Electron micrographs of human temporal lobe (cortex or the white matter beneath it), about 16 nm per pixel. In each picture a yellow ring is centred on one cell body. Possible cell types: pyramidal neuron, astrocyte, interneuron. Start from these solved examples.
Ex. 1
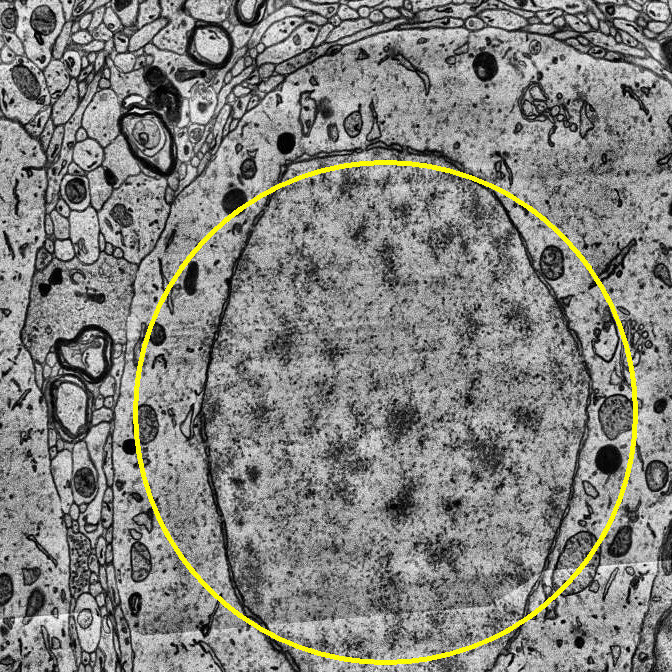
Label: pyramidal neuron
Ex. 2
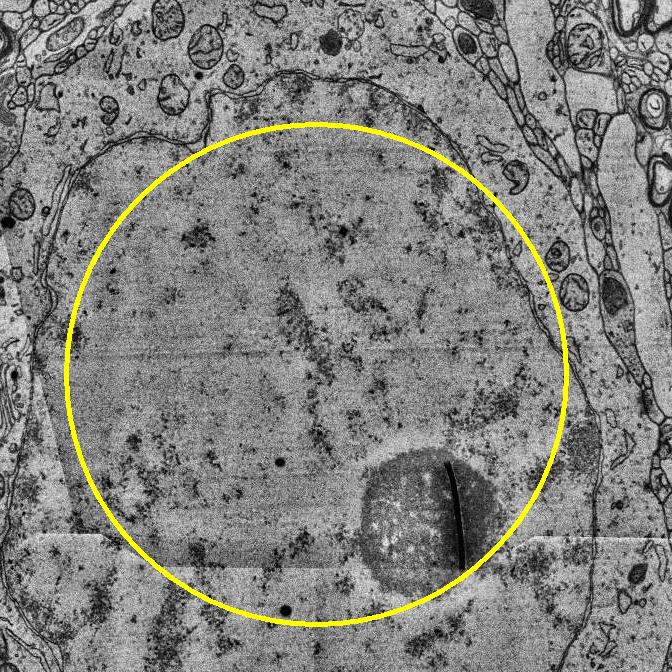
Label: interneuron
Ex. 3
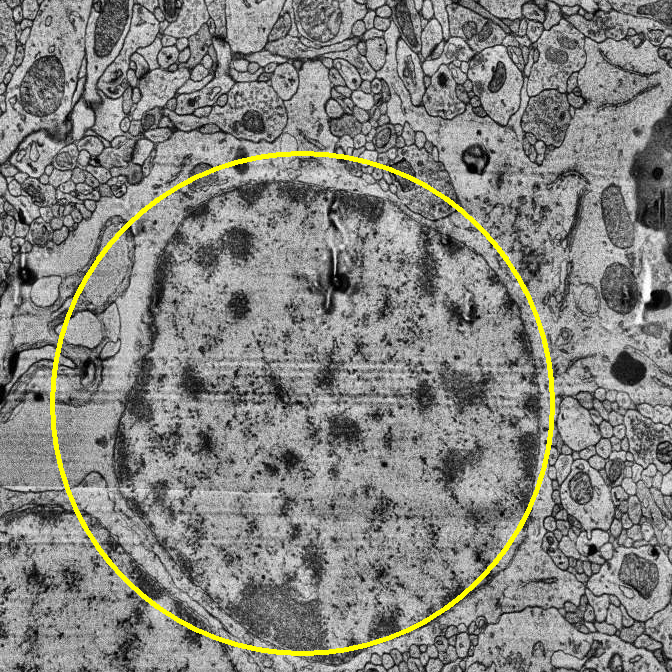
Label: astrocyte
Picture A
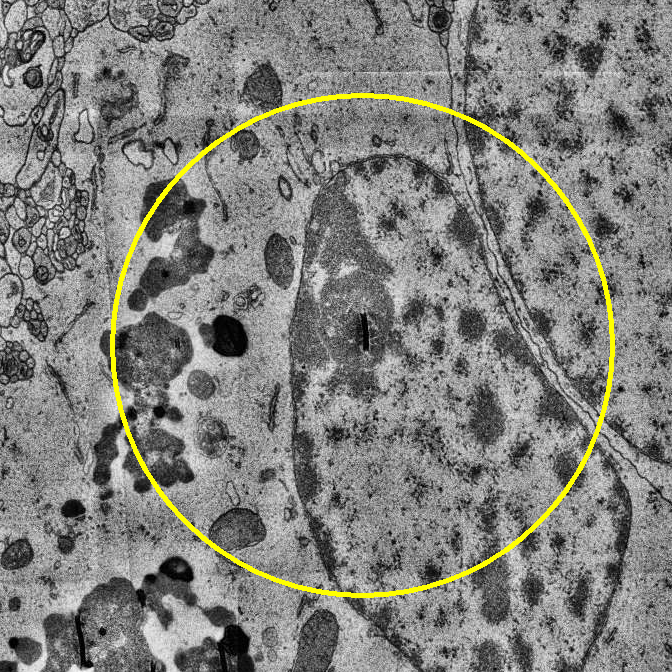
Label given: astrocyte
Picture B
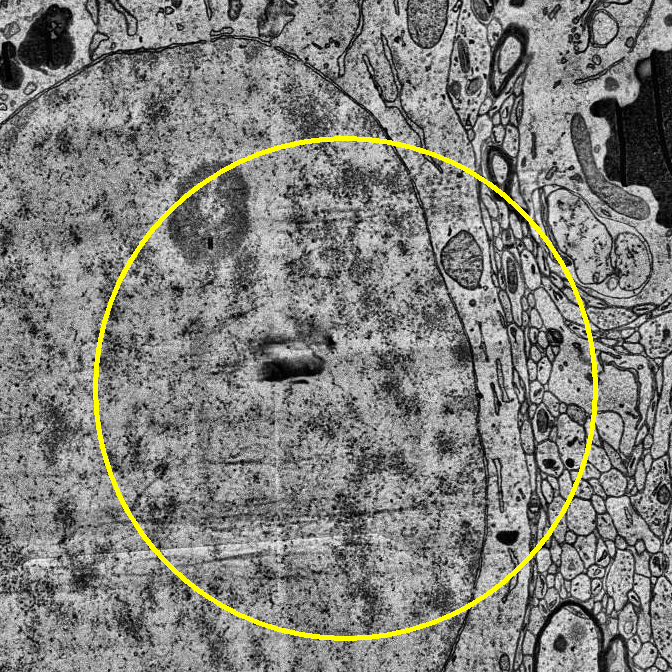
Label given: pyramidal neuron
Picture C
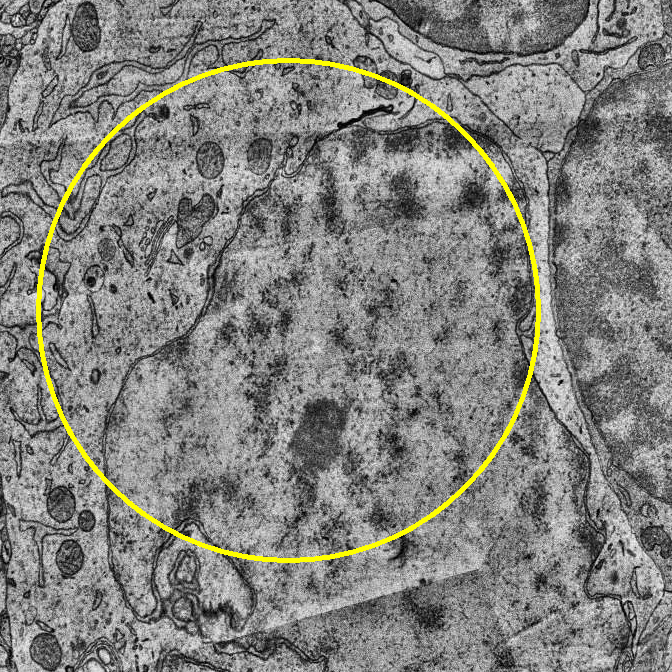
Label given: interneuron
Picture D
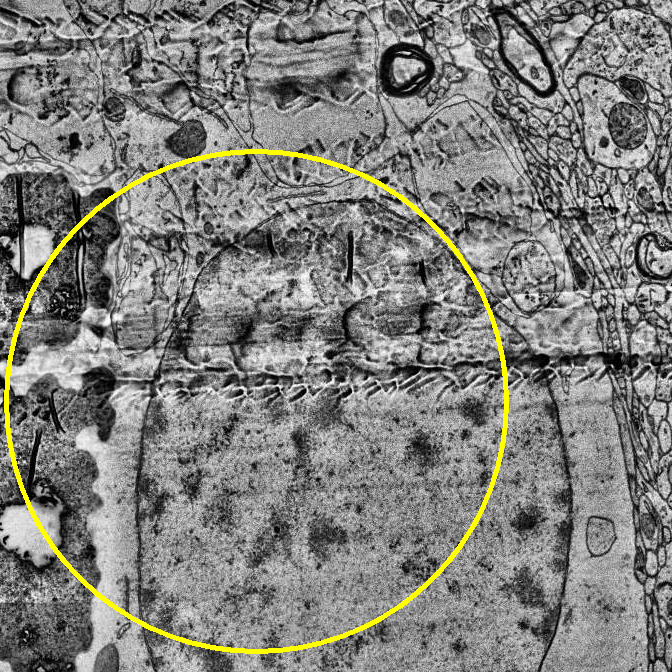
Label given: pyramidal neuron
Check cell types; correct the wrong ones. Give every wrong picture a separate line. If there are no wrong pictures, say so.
D: not pyramidal neuron but astrocyte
